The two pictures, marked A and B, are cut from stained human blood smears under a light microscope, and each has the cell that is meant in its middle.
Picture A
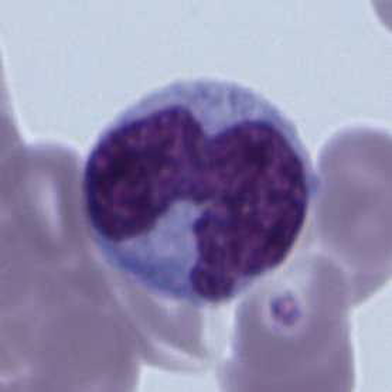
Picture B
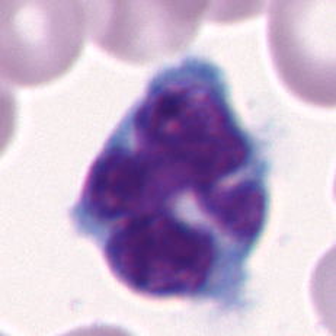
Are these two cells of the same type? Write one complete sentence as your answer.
Yes, both are monocytes.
